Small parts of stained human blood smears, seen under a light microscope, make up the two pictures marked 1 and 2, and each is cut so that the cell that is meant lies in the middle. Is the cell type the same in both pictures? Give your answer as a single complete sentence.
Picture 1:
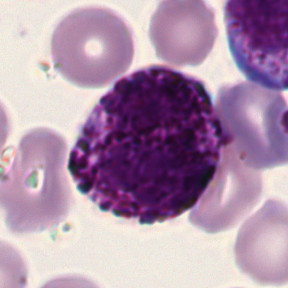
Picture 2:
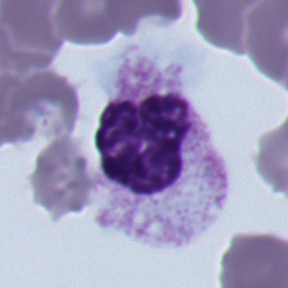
No; the cell in picture 1 is a basophil, while the one in picture 2 is a segmented neutrophil.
